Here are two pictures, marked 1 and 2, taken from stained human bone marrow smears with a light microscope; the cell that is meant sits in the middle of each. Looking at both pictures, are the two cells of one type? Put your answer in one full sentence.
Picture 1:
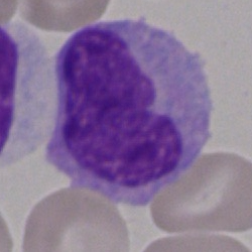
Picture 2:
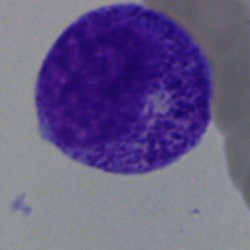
No. Picture 1 shows a monocyte, but picture 2 shows a myelocyte.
